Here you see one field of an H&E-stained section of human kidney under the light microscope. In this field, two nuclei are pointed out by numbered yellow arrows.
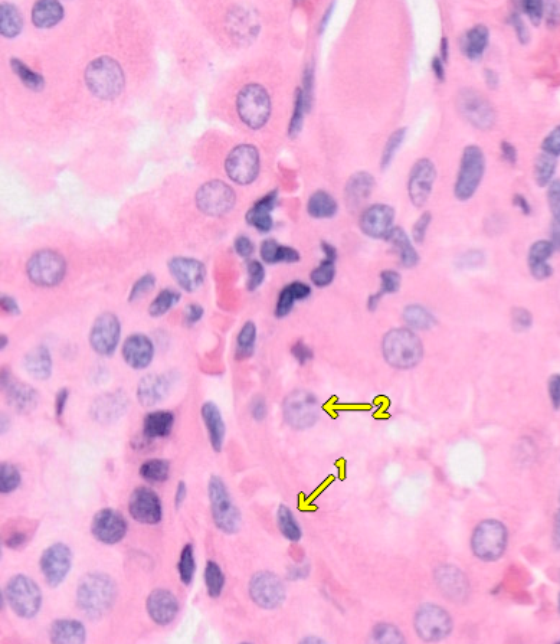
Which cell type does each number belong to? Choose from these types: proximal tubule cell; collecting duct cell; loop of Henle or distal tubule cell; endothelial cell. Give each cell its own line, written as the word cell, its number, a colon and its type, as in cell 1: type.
cell 1: endothelial cell
cell 2: proximal tubule cell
